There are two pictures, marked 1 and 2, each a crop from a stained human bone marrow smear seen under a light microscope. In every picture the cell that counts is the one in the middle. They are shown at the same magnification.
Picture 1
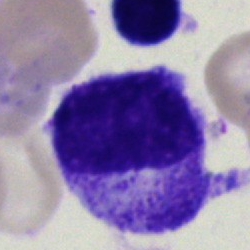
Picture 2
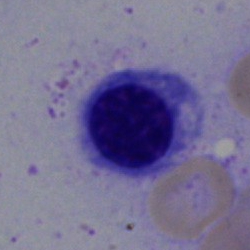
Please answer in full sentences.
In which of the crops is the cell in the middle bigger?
The cell in picture 1 is larger, with about 2 times the area of the one in picture 2.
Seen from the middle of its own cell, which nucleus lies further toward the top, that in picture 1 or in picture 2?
The nucleus in picture 1 lies further toward the top of its cell.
